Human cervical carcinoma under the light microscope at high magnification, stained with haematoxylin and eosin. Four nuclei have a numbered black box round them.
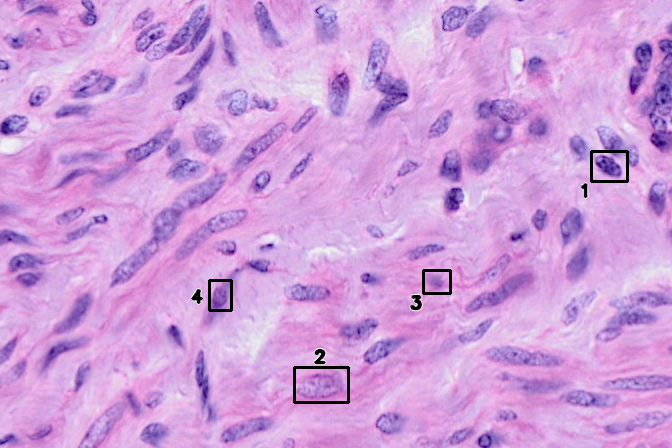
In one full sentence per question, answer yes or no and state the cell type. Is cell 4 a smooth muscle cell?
Yes, exactly, the cell numbered 4 is a smooth muscle cell.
